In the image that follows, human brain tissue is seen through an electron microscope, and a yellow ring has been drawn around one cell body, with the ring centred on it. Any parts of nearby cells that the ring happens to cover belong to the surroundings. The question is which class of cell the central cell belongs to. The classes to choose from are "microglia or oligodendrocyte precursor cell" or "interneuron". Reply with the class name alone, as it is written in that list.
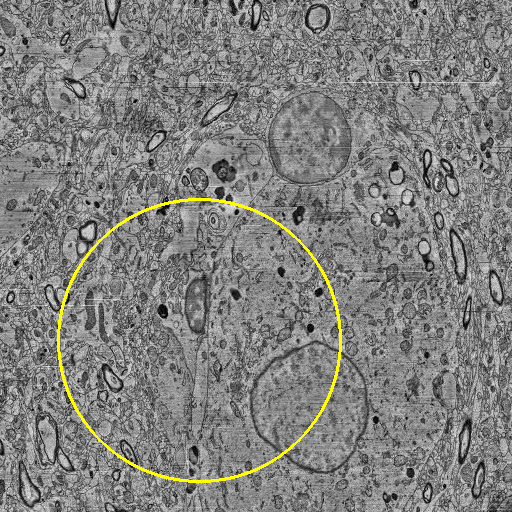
microglia or oligodendrocyte precursor cell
